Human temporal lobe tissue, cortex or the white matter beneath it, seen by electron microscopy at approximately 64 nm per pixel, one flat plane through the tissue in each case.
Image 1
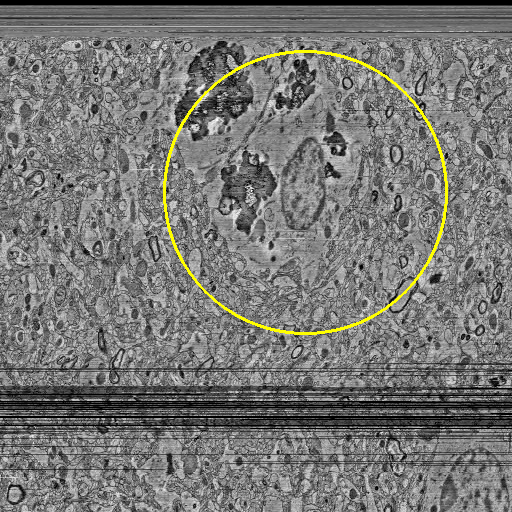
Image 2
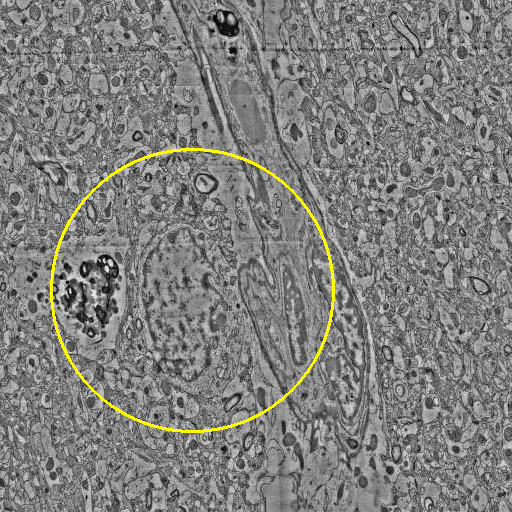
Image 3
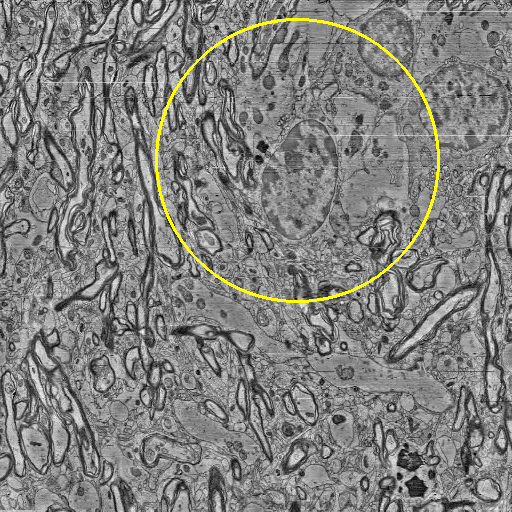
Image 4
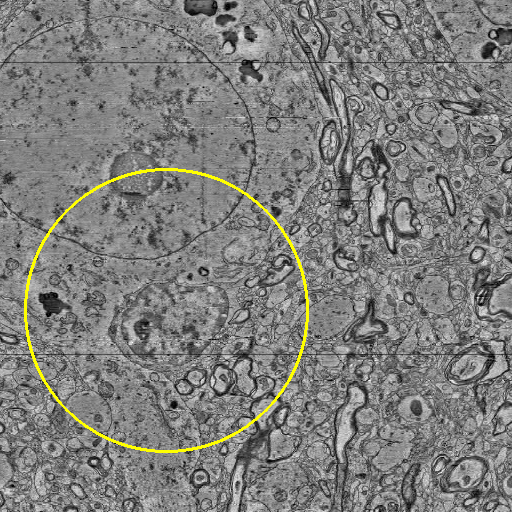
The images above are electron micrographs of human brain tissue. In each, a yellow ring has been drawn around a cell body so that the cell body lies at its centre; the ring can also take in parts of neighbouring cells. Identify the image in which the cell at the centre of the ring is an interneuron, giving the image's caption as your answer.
Image 2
